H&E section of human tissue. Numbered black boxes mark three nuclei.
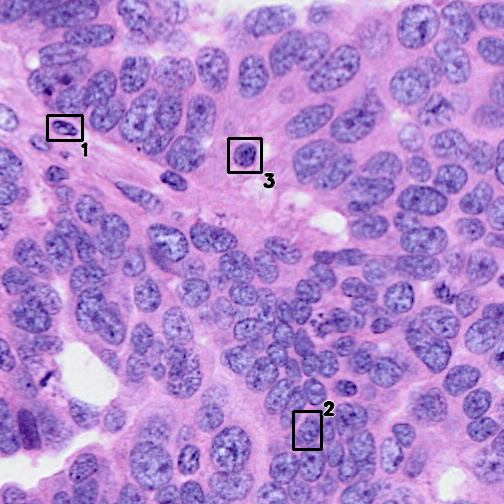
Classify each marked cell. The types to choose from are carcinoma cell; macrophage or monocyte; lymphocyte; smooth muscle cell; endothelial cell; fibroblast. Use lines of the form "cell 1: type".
cell 1: lymphocyte
cell 2: carcinoma cell
cell 3: lymphocyte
